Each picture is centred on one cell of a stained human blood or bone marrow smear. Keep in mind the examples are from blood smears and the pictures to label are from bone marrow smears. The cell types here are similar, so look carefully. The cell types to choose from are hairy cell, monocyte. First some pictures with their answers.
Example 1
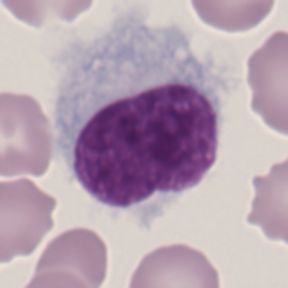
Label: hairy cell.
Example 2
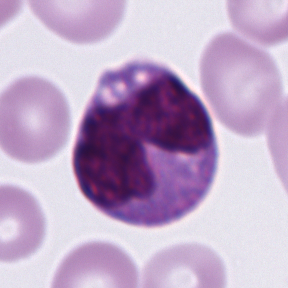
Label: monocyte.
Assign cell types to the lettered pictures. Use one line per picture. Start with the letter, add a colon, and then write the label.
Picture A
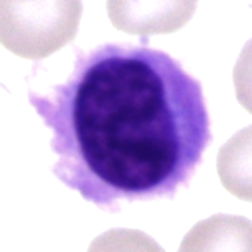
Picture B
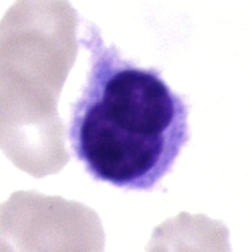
A: hairy cell.
B: hairy cell.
